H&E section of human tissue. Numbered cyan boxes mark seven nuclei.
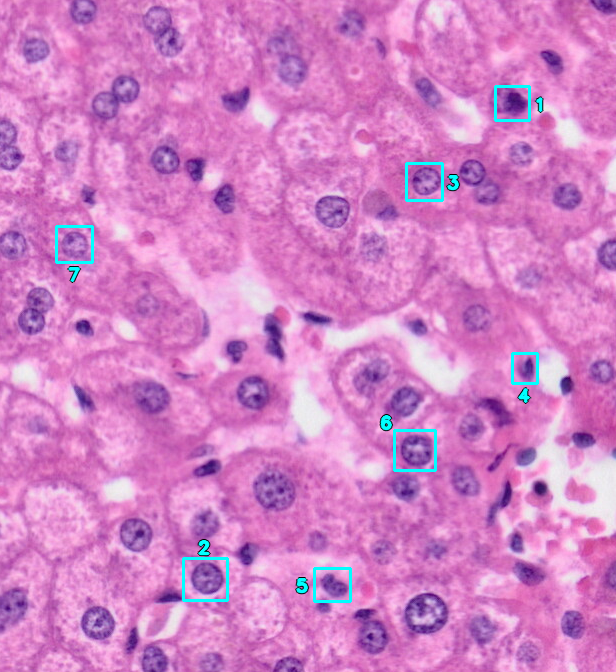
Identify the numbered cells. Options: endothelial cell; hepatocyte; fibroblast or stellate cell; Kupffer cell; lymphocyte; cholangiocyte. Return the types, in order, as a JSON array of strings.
["fibroblast or stellate cell", "hepatocyte", "hepatocyte", "fibroblast or stellate cell", "Kupffer cell", "hepatocyte", "hepatocyte"]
